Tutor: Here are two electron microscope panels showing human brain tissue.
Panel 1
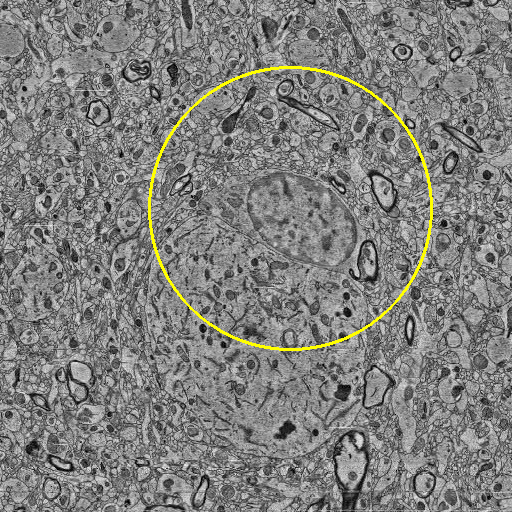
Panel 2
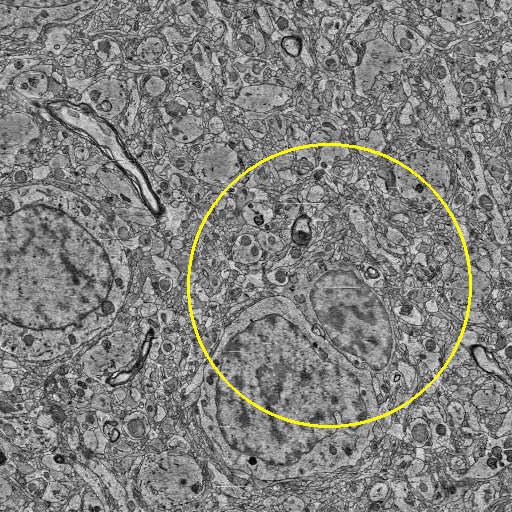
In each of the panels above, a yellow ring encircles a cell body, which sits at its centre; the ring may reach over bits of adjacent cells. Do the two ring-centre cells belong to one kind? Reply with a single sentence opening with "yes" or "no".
Yes, the two cells sitting at the ring centres in the panels belong to one kind.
